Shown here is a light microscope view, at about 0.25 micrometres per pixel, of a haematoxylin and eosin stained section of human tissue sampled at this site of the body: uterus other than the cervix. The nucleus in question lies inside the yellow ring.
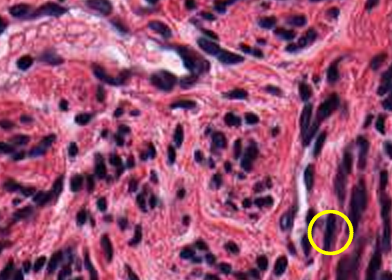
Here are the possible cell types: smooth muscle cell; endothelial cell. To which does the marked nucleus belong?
smooth muscle cell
